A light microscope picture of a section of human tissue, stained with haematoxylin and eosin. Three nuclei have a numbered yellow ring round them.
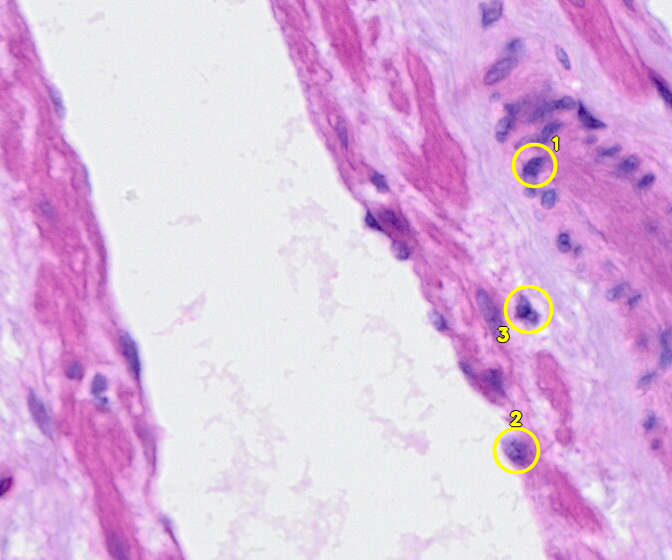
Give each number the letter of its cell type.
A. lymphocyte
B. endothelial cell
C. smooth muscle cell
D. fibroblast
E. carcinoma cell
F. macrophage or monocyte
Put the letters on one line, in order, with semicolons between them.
C; B; F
